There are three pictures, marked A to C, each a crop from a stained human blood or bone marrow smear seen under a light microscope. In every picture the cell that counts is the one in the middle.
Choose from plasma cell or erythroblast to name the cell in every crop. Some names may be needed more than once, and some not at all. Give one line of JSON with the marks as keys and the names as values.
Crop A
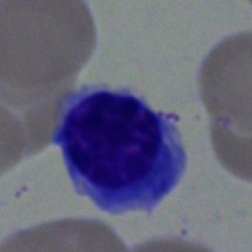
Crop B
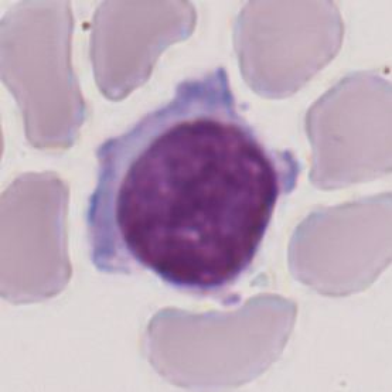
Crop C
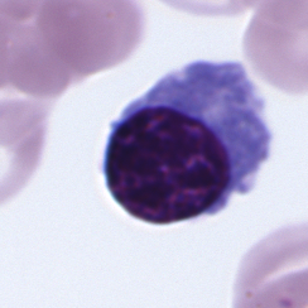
{"A": "erythroblast", "B": "plasma cell", "C": "erythroblast"}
